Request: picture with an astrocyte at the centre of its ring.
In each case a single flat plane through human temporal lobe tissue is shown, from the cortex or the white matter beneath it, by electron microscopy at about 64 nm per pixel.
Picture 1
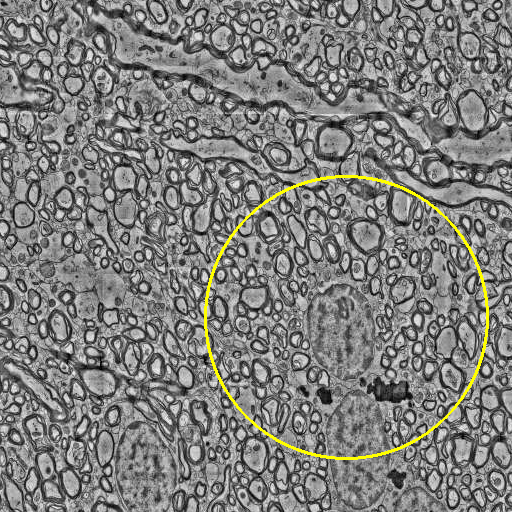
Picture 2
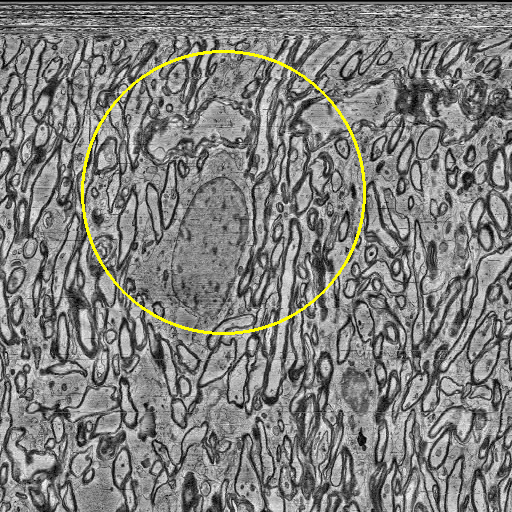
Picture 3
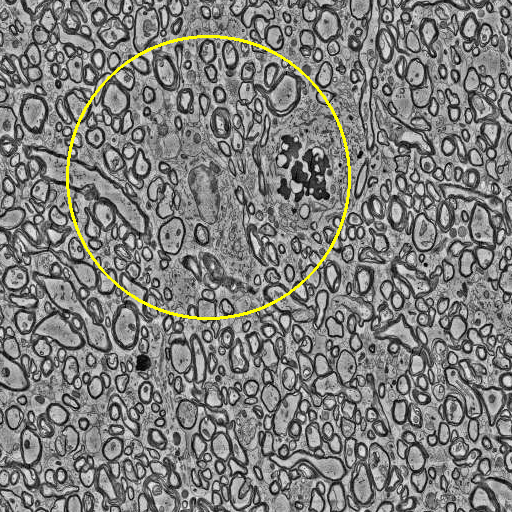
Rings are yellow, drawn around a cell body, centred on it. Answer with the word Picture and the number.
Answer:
Picture 2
